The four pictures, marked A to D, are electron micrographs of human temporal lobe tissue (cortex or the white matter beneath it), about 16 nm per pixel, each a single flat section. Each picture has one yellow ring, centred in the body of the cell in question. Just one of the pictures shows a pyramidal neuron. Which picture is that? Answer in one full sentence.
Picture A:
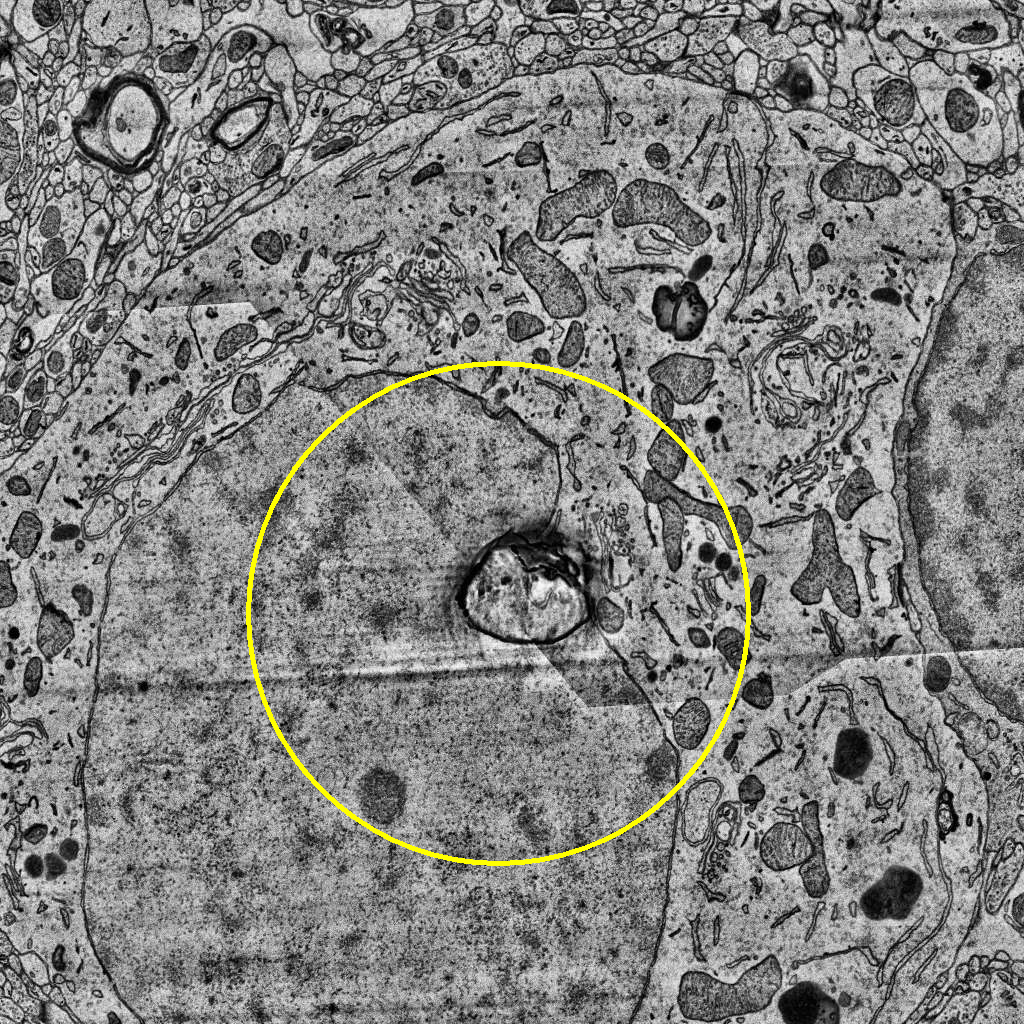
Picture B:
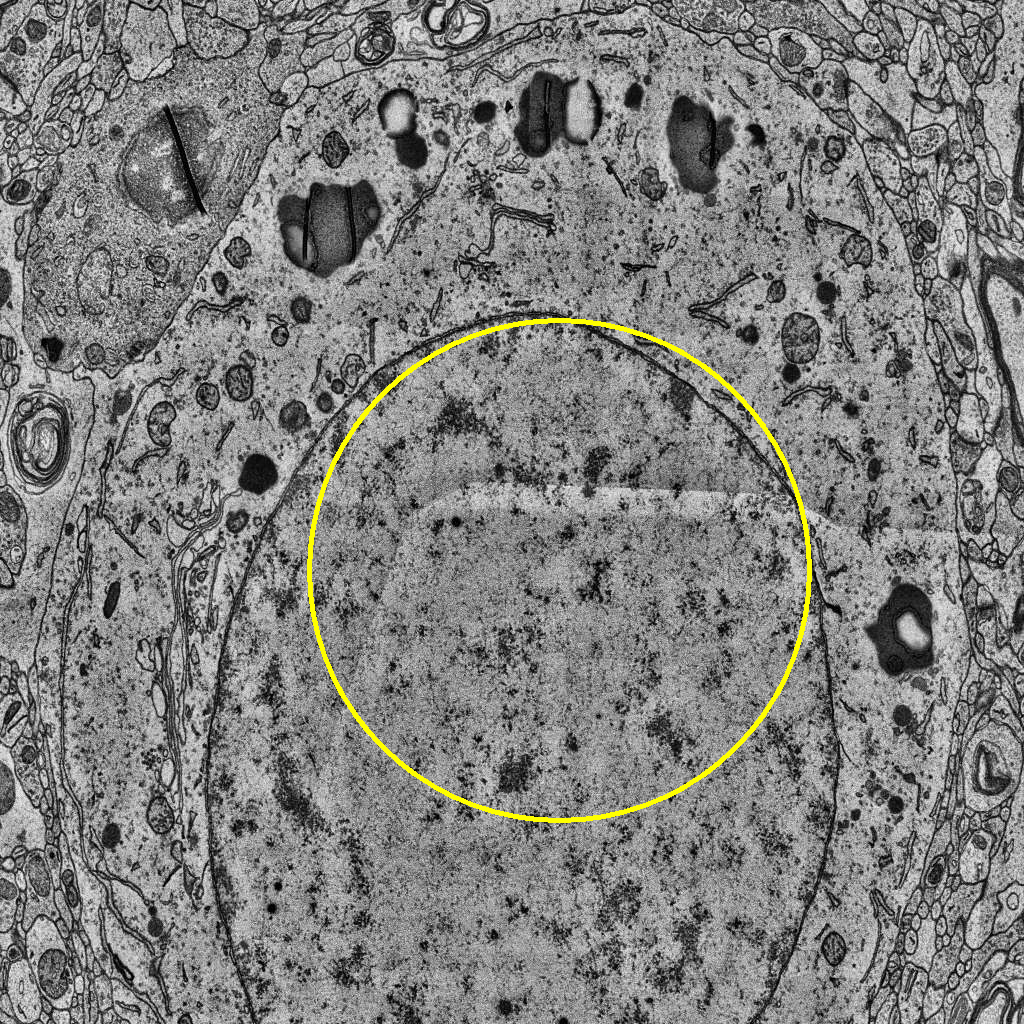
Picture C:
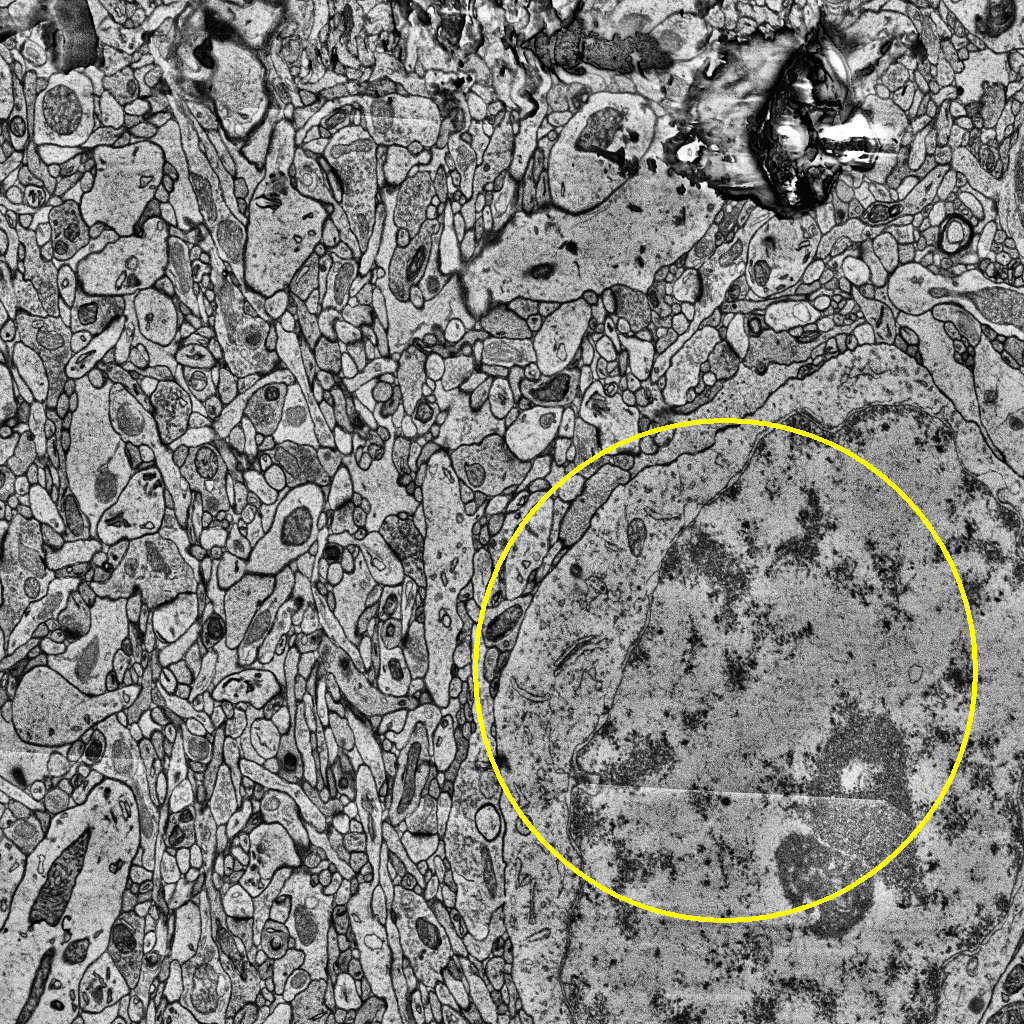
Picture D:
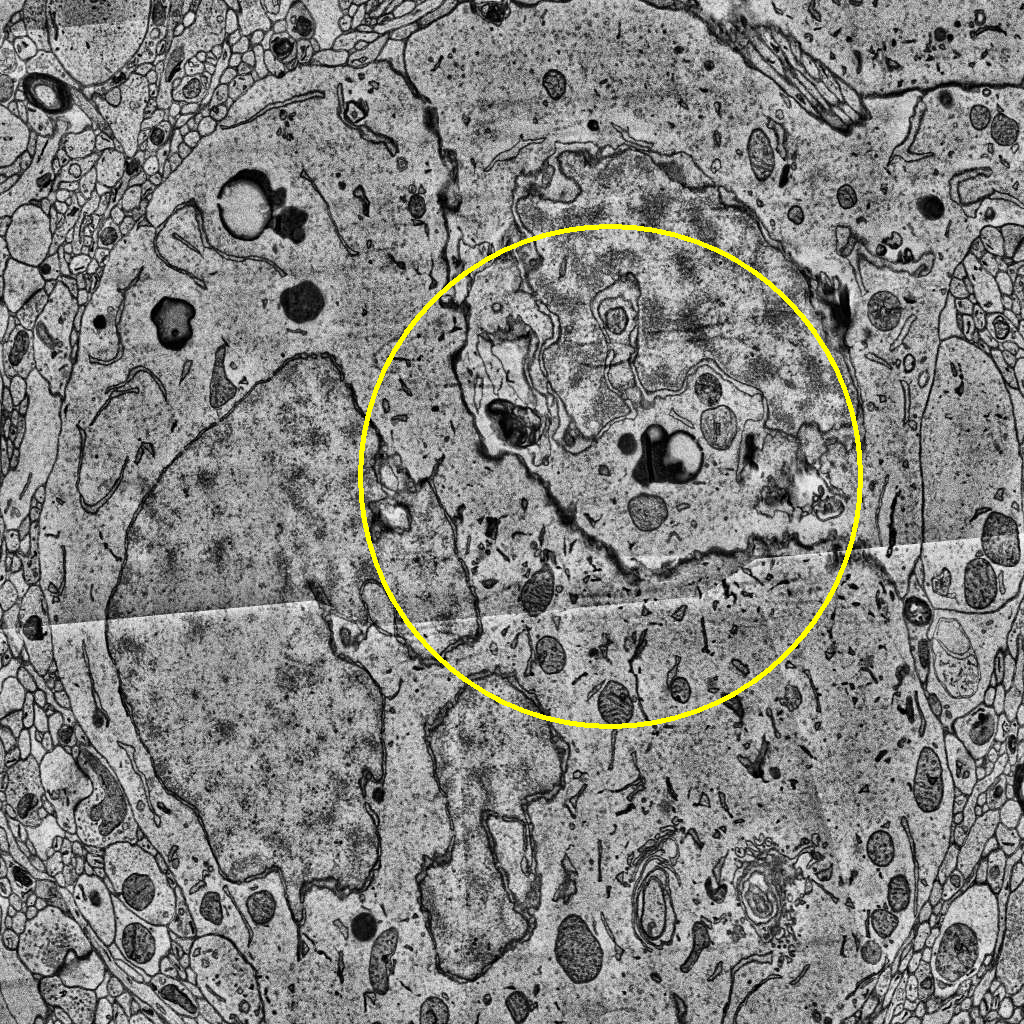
The pyramidal neuron is the one in picture B.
